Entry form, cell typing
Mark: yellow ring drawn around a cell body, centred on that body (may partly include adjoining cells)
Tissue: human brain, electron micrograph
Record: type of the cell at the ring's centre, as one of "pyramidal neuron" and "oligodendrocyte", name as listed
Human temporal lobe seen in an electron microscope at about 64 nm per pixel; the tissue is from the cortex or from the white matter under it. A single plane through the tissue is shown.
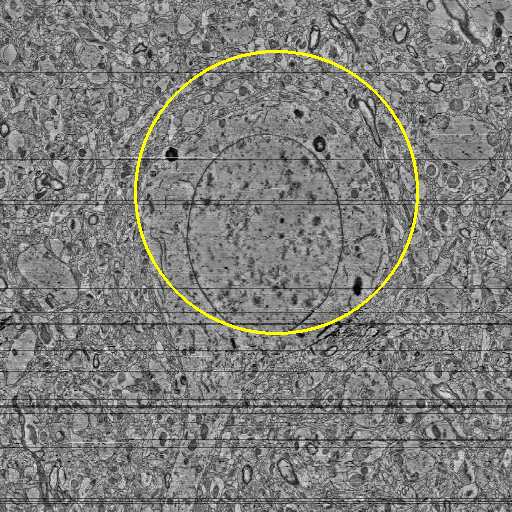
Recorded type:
pyramidal neuron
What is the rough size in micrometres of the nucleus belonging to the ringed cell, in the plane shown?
The nucleus works out at approximately 13 by 10 micrometres in this plane.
